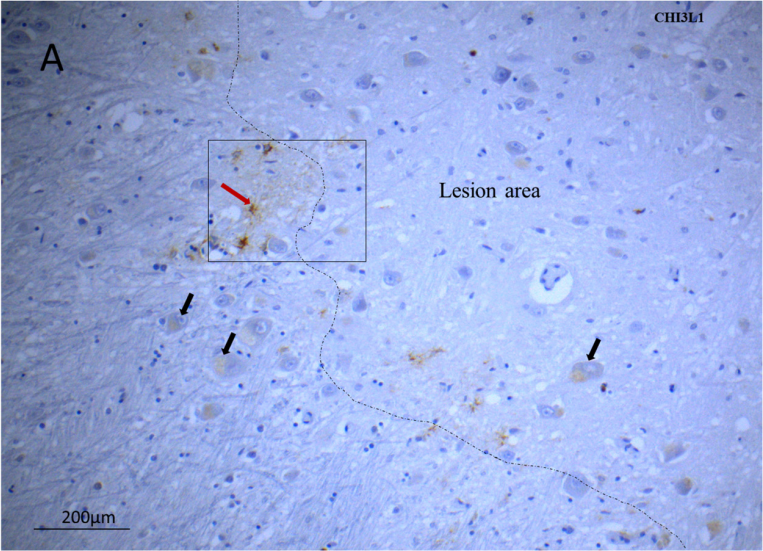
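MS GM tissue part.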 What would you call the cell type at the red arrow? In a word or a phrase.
reactive astrocytes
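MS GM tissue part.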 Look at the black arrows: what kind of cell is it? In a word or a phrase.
Neurons.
